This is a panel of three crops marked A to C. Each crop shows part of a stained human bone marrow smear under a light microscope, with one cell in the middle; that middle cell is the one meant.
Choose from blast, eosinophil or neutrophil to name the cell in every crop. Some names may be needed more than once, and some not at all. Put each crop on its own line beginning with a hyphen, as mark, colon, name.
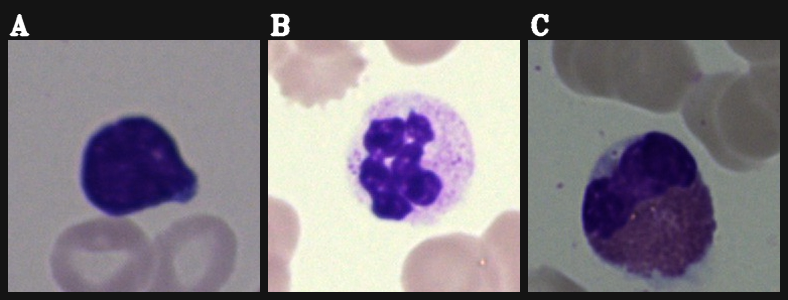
- A: blast
- B: neutrophil
- C: eosinophil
